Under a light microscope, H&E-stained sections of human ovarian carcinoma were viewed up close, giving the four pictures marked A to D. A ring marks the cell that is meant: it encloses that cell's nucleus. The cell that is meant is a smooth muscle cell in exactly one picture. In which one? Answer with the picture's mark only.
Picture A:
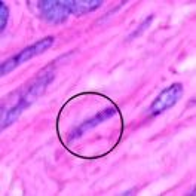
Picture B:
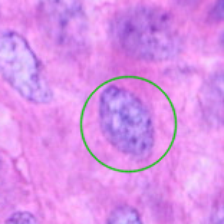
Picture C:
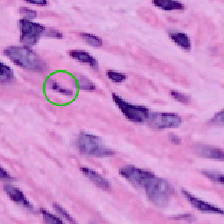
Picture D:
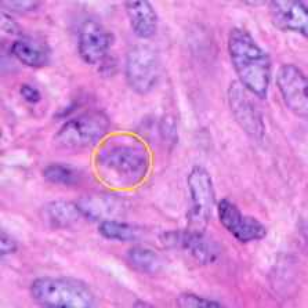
C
